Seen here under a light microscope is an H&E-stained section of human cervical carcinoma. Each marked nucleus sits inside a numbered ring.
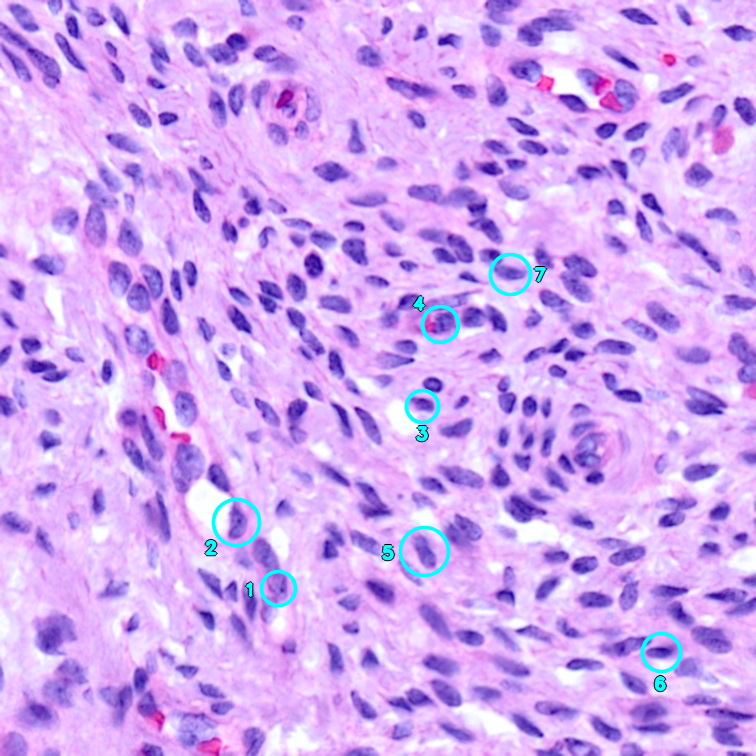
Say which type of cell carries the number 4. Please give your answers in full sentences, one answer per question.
The cell numbered 4 has been identified as an endothelial cell.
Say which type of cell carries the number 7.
The cell bearing label 7 corresponds to a fibroblast.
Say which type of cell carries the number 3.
Regarding cell 3, this one is a fibroblast.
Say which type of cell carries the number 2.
The nucleus labelled 2 belongs to an endothelial cell.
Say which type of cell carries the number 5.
That cell with number 5 is a fibroblast.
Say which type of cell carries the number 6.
The cell referenced by the number 6 is a fibroblast in this field.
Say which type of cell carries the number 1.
Cell 1 in the field is an endothelial cell.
